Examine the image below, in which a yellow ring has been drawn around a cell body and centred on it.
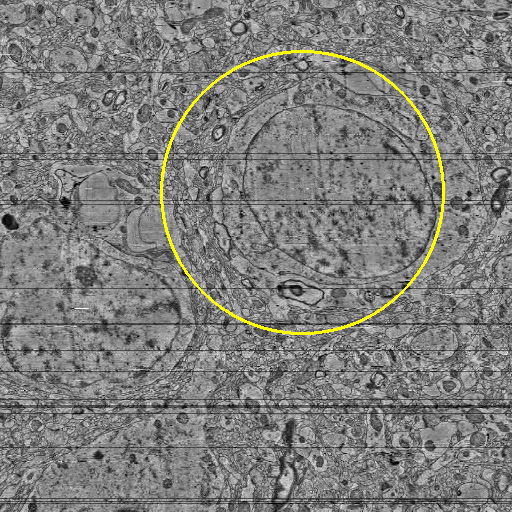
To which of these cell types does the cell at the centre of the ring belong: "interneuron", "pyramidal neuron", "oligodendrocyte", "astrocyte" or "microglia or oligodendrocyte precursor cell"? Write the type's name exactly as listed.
pyramidal neuron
